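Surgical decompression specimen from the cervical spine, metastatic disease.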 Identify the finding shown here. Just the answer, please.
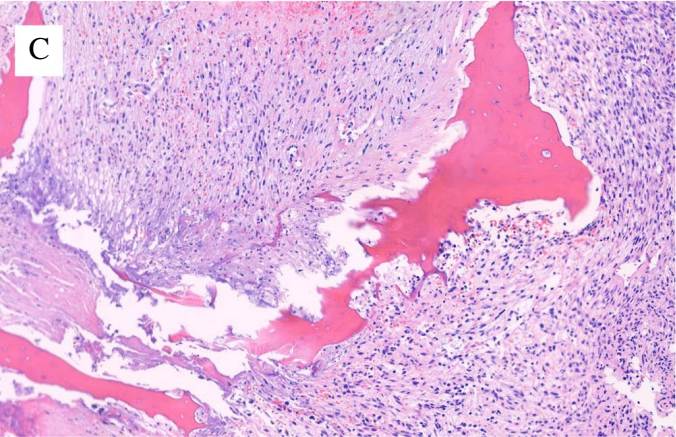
Bone destructive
